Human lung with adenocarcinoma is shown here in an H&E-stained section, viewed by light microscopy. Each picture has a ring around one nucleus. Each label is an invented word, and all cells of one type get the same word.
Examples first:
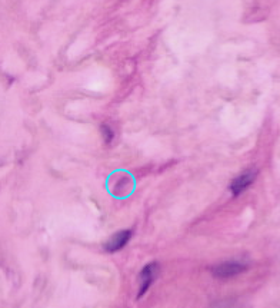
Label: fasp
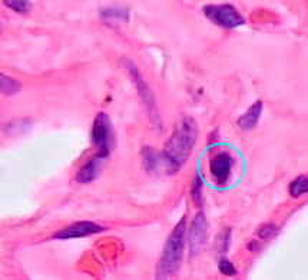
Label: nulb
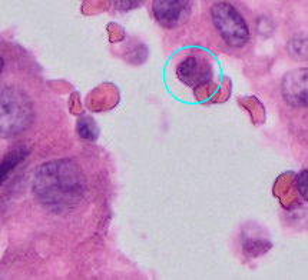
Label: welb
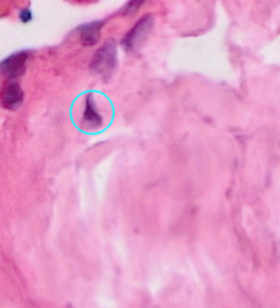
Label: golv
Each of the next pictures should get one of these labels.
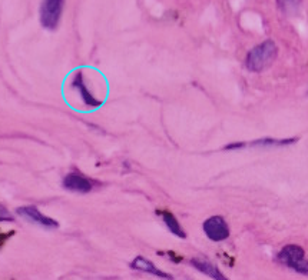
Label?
golv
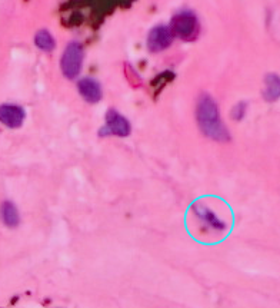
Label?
golv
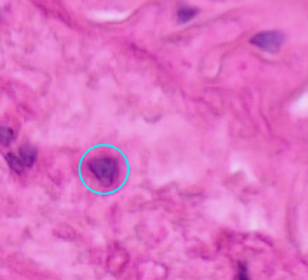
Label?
fasp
